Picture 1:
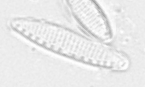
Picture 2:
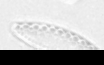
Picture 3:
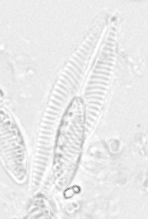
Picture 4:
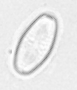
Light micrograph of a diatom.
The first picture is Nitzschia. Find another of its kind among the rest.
Picture 2.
